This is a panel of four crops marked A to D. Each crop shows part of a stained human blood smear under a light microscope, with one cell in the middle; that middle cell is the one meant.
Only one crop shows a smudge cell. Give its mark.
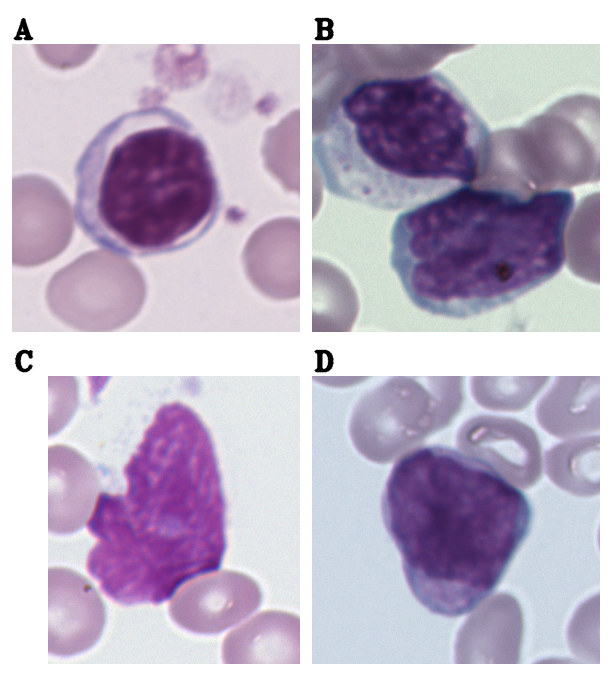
C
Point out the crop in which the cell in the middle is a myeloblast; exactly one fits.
B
